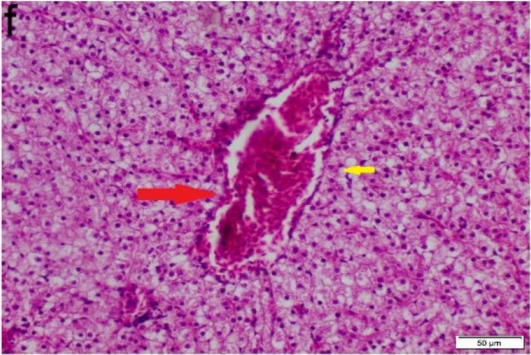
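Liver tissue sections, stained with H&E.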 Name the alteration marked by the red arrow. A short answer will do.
Congestion of blood vessels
